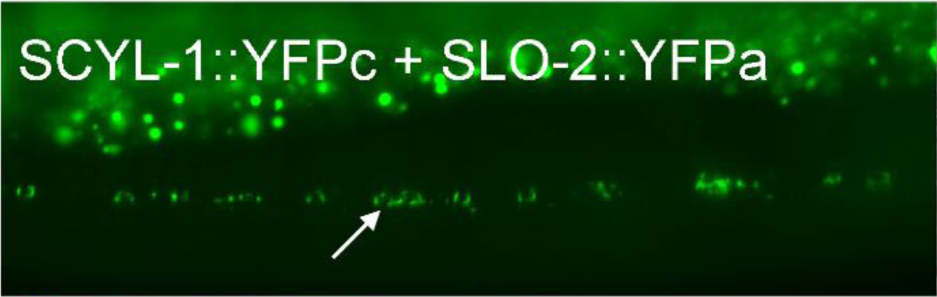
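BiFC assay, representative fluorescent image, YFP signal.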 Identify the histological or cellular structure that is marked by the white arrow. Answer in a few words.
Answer: Ventral nerve cord.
